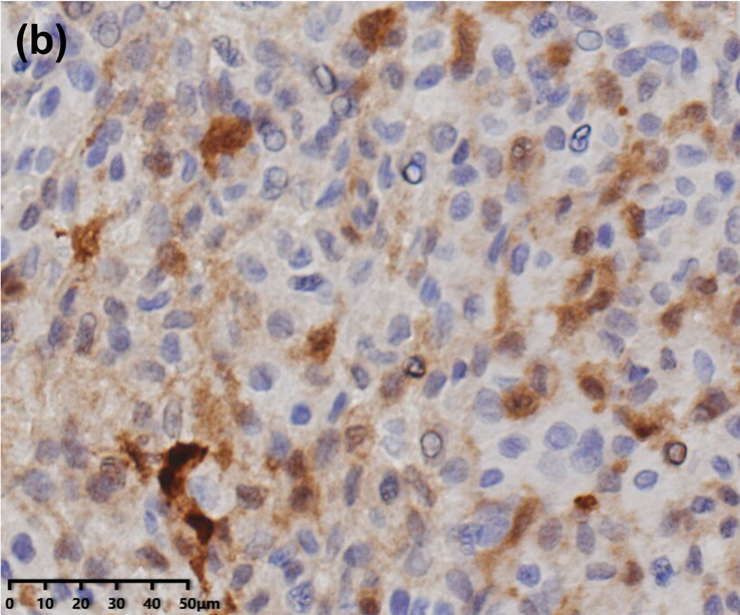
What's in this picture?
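Crowded round to oval nuclei stained blue fill the field, with some nuclei showing sharply outlined membranes. Many cells show brown staining in the cytoplasm and over the nucleus, some strongly and some faintly, with irregular brown cell outlines between the nuclei.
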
